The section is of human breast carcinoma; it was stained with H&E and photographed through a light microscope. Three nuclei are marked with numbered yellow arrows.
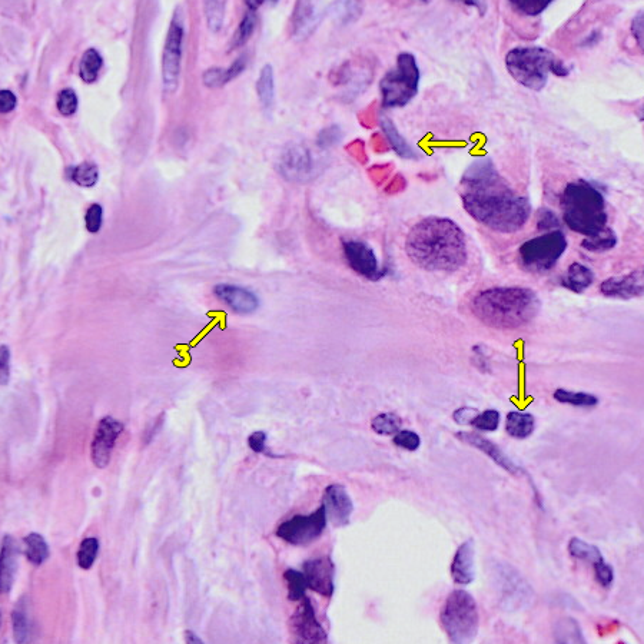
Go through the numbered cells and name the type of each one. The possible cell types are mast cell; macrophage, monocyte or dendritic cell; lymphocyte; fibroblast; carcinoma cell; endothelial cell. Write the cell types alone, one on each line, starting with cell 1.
lymphocyte
endothelial cell
mast cell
